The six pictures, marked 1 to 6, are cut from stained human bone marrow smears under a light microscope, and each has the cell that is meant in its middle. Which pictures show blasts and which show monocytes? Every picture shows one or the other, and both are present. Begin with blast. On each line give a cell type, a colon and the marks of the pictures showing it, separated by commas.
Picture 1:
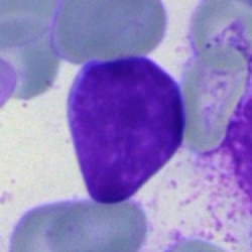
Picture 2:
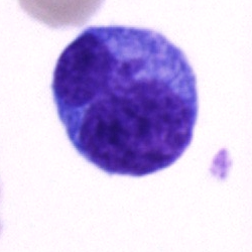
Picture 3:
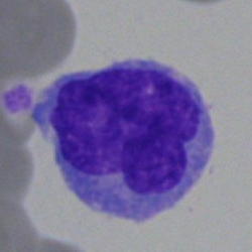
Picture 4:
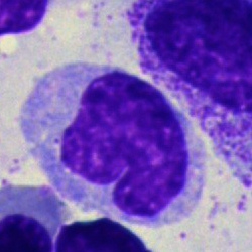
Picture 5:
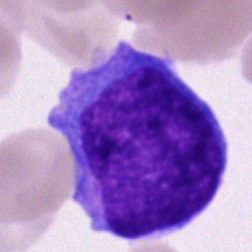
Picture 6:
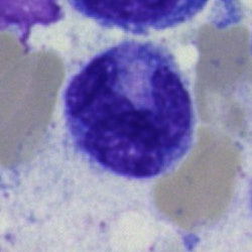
blast: 1, 2, 5
monocyte: 3, 4, 6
